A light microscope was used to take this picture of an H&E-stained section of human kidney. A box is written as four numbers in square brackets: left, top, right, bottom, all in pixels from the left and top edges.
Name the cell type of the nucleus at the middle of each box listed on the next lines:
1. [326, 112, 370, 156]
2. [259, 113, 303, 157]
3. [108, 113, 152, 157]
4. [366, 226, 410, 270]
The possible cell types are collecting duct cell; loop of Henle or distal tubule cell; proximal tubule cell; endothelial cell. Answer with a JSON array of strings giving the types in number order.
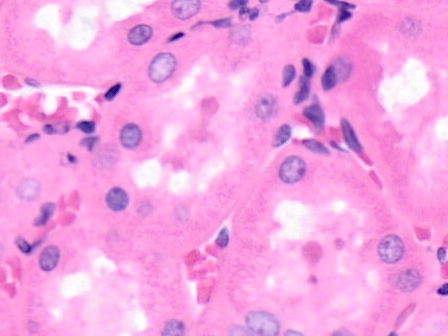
["endothelial cell", "endothelial cell", "proximal tubule cell", "proximal tubule cell"]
